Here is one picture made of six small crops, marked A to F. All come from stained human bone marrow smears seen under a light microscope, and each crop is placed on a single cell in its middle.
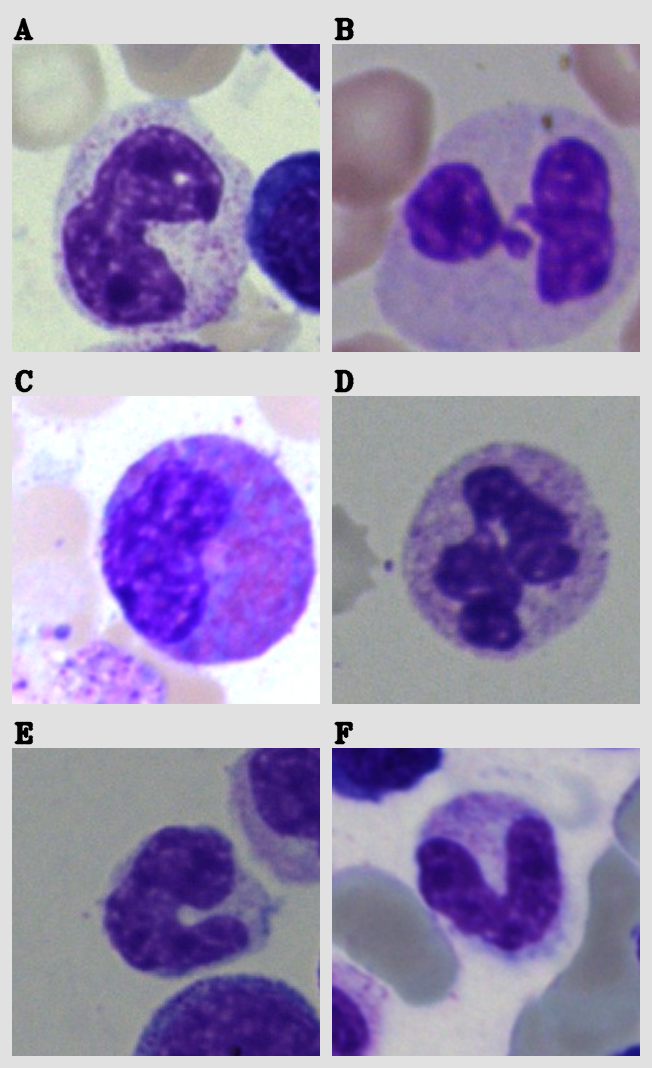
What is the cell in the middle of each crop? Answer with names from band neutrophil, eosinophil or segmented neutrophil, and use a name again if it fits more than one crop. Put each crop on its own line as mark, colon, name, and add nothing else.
A: band neutrophil
B: segmented neutrophil
C: eosinophil
D: segmented neutrophil
E: band neutrophil
F: segmented neutrophil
